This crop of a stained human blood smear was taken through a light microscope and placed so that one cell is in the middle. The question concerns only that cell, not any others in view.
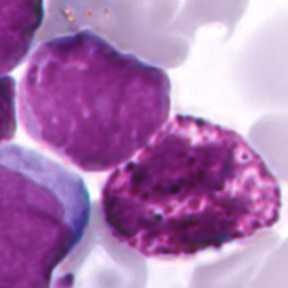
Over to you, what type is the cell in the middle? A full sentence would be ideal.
The central cell in this smear crop is a basophil.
